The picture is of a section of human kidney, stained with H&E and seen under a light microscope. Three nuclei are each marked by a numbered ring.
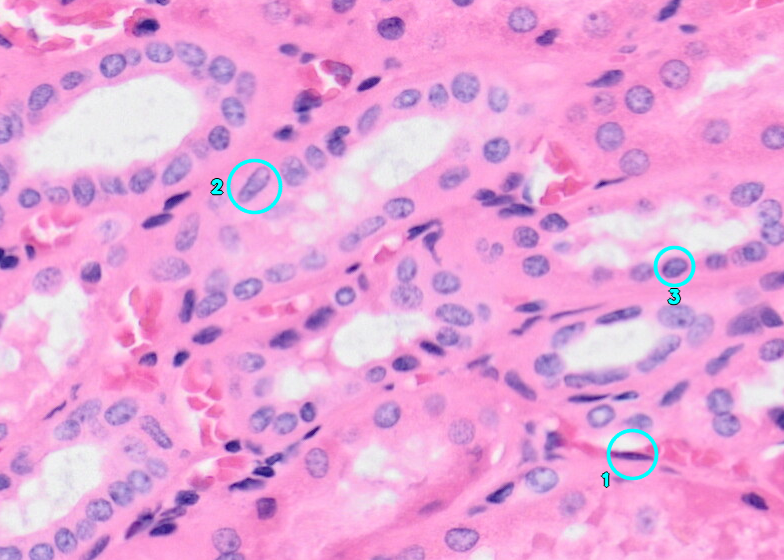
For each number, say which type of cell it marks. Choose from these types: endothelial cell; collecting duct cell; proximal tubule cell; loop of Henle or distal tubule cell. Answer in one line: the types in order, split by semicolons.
endothelial cell; collecting duct cell; loop of Henle or distal tubule cell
